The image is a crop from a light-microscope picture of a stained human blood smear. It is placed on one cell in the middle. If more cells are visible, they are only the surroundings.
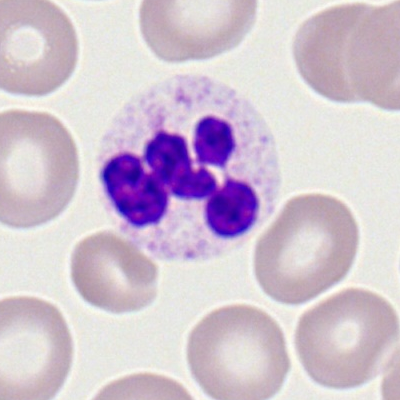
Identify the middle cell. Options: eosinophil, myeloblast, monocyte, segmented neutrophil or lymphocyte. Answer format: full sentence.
The central cell shown in this smear crop is a segmented neutrophil.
